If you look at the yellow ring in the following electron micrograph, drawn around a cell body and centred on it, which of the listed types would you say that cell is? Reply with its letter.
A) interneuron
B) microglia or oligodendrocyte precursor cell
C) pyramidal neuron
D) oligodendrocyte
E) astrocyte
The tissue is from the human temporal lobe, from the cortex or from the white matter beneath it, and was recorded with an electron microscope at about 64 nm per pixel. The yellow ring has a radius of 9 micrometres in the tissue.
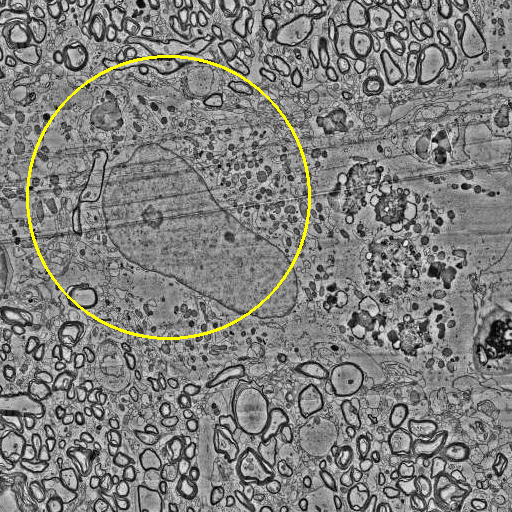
E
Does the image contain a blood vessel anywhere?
Yes, one appears.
